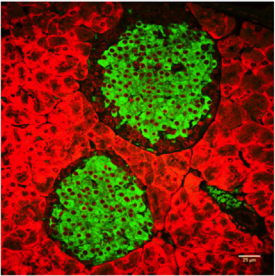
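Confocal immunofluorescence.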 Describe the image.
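Two pancreatic islets lie one above the other as rounded clusters of closely packed small cells with green-stained cytoplasm, each set off from the surrounding tissue by a thin boundary. Small dark nuclei dot the green evenly throughout both islets. Around them, the exocrine pancreas appears red, made of larger polygonal acinar cells arranged in groups with thin dark partitions between them. A small green patch is also seen at the lower right edge within the exocrine tissue.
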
